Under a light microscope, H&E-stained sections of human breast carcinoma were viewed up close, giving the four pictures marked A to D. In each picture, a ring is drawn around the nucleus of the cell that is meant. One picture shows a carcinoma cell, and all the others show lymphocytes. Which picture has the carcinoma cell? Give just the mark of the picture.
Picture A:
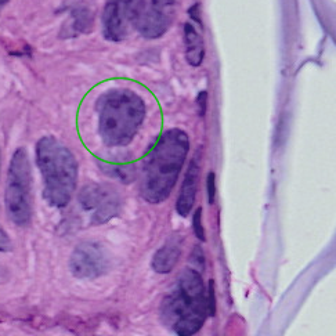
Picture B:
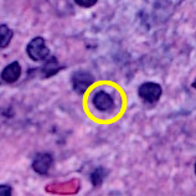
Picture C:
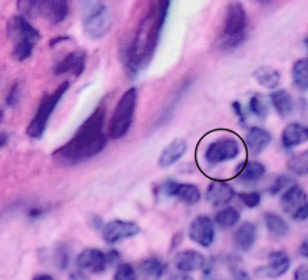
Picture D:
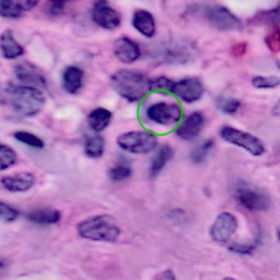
A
